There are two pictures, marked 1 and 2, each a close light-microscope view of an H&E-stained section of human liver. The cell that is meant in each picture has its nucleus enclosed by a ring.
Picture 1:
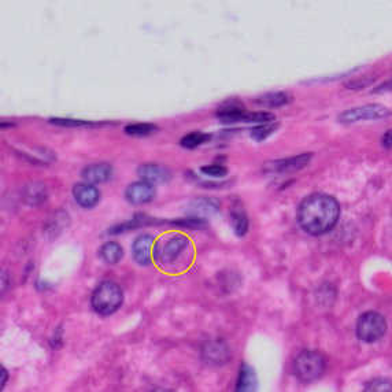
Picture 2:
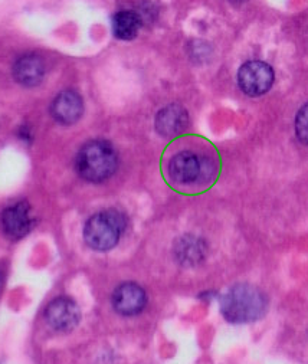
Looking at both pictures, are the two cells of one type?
no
